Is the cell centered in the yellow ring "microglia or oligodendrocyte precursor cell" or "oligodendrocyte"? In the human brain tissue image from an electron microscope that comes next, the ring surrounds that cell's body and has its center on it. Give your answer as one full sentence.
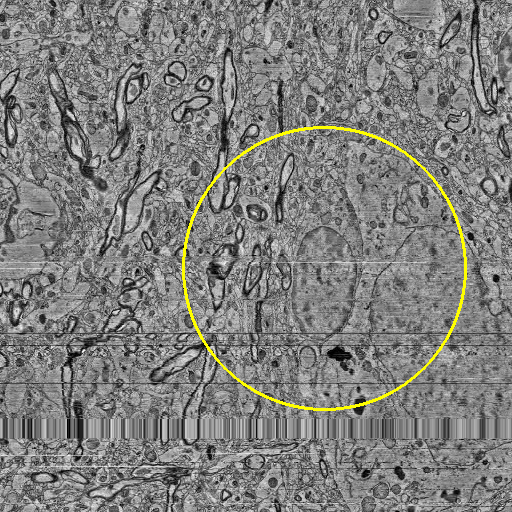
The cell at the center of the yellow ring is an oligodendrocyte in the micrograph.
